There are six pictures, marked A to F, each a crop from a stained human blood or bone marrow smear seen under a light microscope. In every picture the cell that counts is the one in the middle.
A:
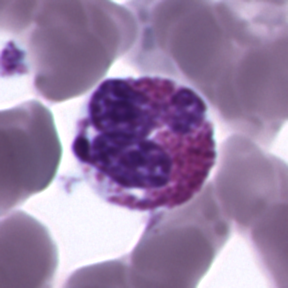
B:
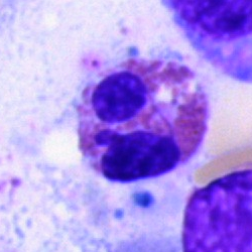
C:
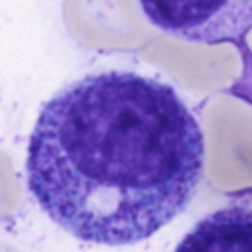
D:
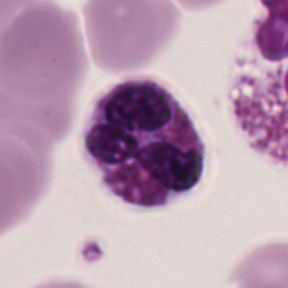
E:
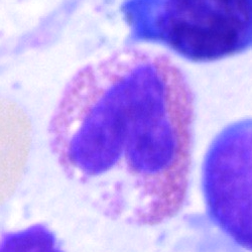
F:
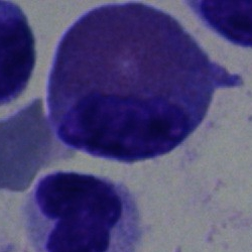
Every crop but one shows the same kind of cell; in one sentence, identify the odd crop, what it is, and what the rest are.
The crop that differs is C, which is a promyelocyte; the rest are eosinophils.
